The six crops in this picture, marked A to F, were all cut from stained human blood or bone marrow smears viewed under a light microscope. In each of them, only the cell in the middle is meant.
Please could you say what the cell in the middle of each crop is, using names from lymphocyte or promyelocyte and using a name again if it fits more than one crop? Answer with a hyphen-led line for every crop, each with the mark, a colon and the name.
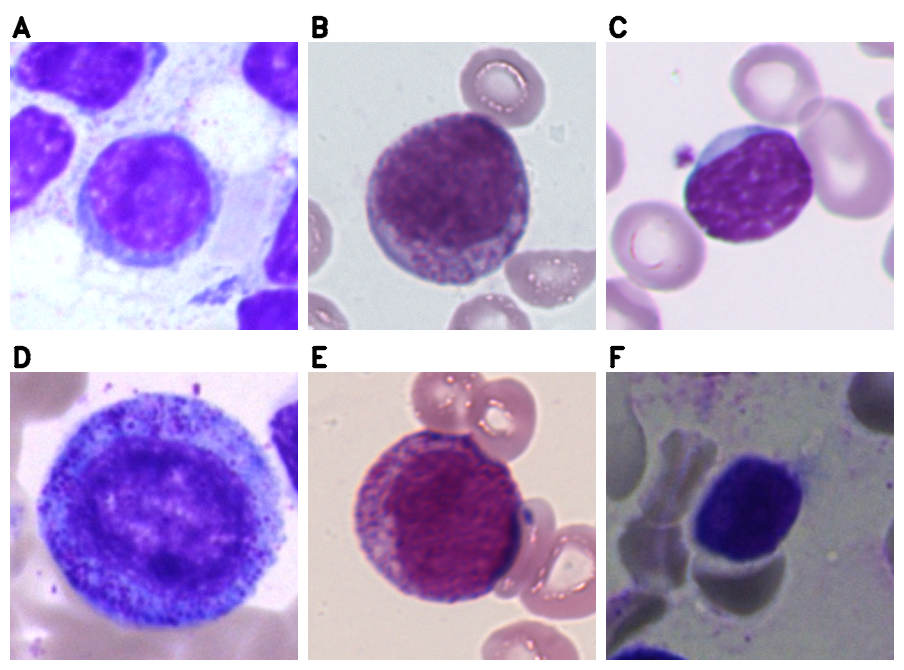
- A: lymphocyte
- B: promyelocyte
- C: lymphocyte
- D: promyelocyte
- E: promyelocyte
- F: lymphocyte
